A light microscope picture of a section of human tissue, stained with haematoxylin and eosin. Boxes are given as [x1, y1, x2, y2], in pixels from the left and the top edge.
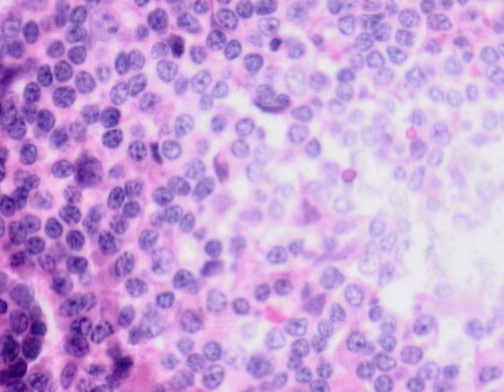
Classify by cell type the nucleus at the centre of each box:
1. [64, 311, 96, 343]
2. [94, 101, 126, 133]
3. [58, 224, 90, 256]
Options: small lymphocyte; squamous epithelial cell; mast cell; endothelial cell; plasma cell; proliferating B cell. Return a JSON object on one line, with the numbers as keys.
{"1": "plasma cell", "2": "small lymphocyte", "3": "small lymphocyte"}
